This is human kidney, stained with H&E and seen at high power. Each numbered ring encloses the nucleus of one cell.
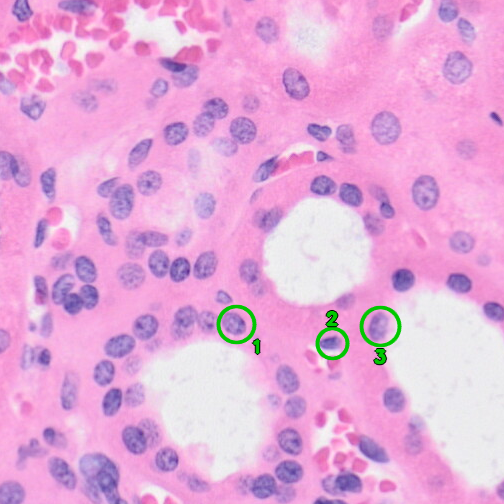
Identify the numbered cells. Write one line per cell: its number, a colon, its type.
1: collecting duct cell
2: endothelial cell
3: loop of Henle or distal tubule cell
